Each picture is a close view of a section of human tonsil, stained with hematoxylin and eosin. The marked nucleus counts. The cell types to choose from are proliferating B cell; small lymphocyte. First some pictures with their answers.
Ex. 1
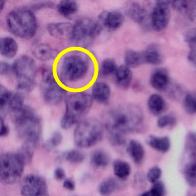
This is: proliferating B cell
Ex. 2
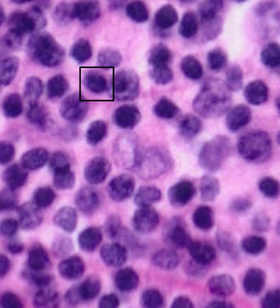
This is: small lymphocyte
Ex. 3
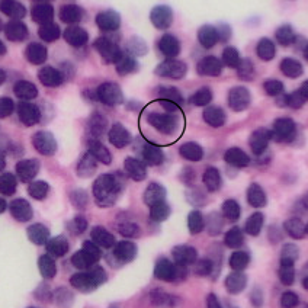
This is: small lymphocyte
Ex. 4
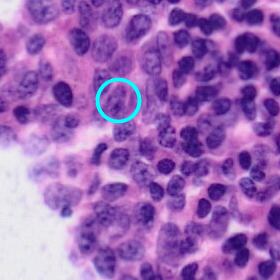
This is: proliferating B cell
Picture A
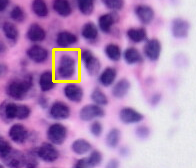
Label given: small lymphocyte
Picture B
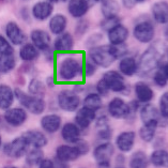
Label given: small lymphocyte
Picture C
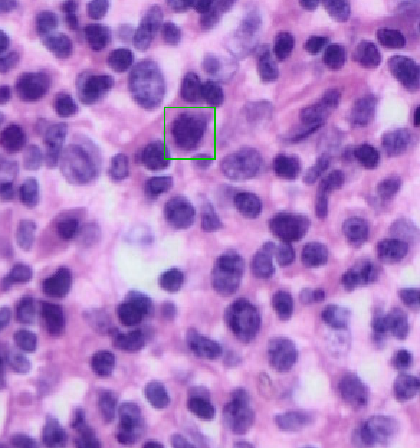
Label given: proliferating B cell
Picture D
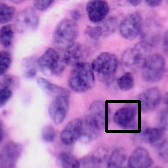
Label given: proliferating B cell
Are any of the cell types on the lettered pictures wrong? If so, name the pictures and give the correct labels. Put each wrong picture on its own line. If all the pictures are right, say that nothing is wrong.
Nothing to fix; every label fits.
